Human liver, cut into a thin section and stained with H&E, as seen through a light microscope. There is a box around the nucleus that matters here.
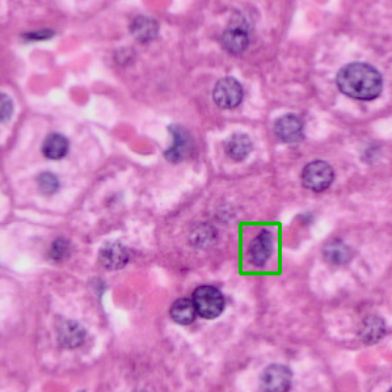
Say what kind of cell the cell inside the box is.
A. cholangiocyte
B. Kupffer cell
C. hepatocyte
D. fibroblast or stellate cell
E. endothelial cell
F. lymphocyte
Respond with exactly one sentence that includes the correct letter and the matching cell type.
Hey, it is option D: the cell inside the box is a fibroblast or stellate cell.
